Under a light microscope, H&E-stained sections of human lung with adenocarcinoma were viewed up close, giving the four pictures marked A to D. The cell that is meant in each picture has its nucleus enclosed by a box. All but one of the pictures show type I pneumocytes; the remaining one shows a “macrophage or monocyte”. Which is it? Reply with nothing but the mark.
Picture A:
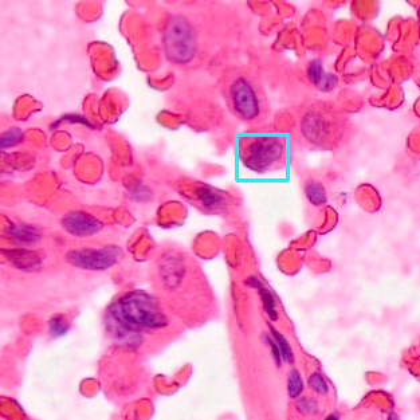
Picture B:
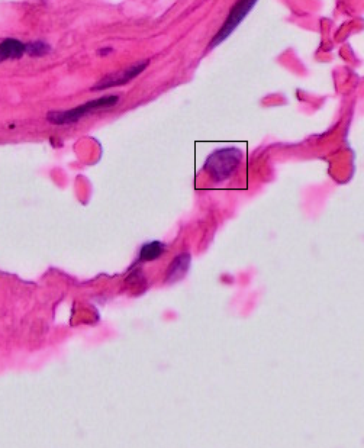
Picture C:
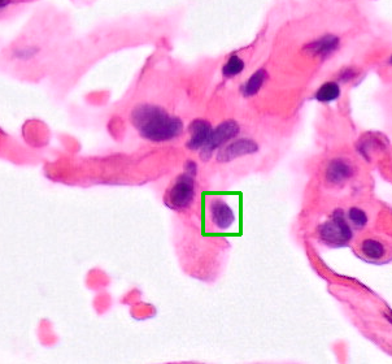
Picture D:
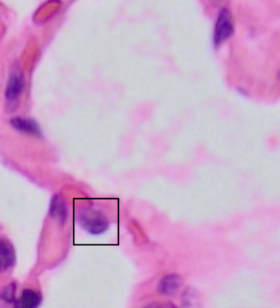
A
